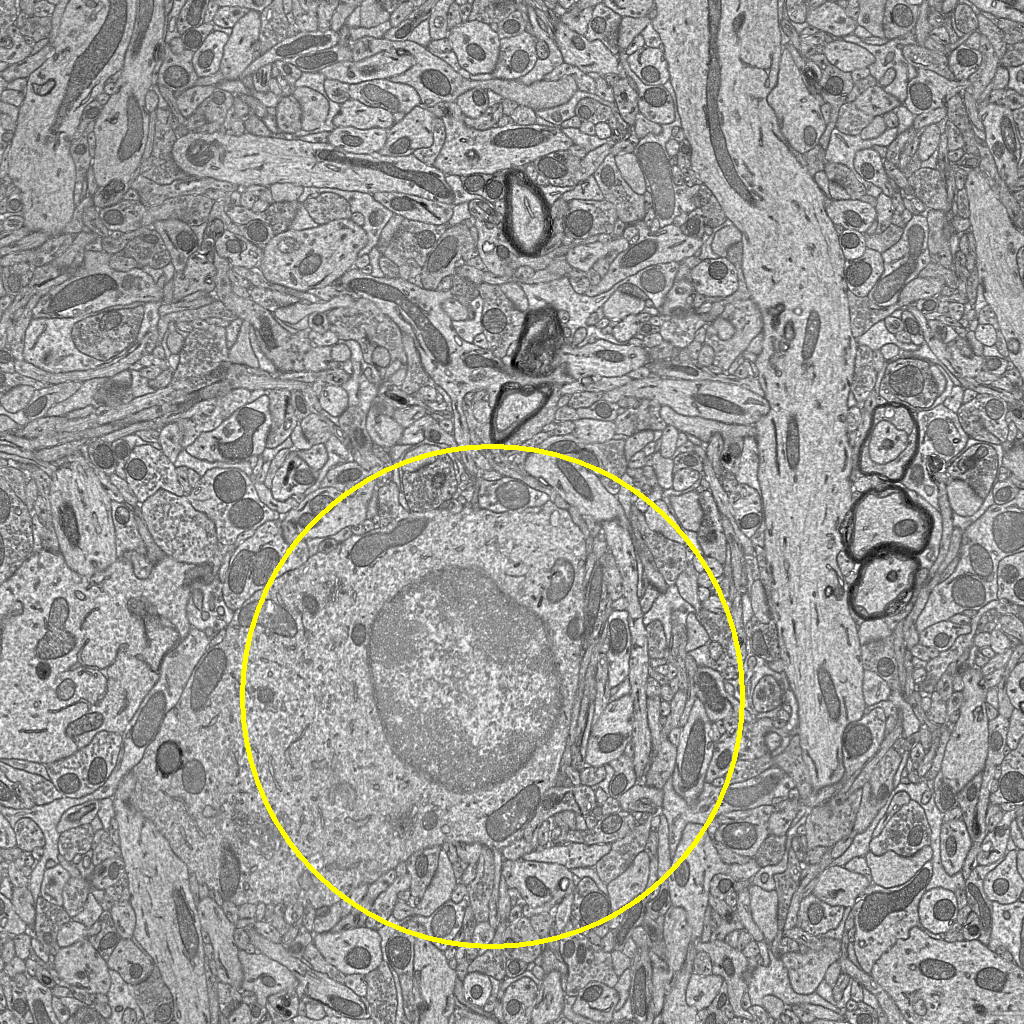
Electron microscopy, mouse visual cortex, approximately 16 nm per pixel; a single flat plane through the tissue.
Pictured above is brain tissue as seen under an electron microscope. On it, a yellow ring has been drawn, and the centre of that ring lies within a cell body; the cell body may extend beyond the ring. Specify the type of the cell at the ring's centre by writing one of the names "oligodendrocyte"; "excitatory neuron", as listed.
oligodendrocyte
